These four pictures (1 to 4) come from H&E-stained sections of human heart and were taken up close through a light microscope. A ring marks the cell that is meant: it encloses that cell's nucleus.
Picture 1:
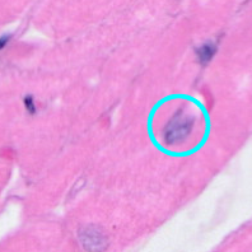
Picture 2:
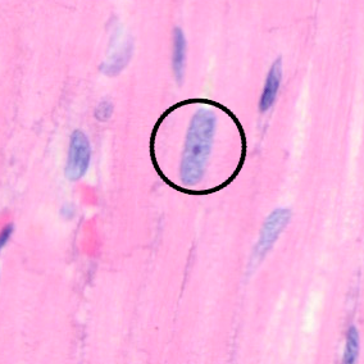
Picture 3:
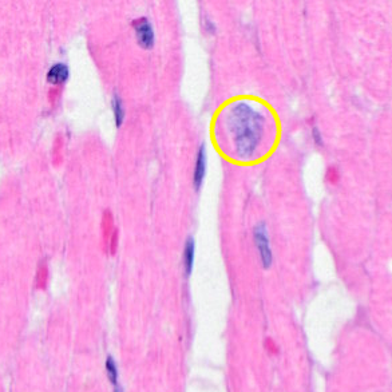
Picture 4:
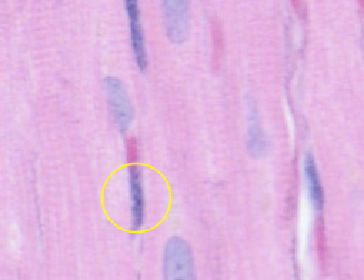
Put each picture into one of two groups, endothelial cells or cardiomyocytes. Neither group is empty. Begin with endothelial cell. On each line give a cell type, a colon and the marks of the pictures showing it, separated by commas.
endothelial cell: 4
cardiomyocyte: 1, 2, 3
